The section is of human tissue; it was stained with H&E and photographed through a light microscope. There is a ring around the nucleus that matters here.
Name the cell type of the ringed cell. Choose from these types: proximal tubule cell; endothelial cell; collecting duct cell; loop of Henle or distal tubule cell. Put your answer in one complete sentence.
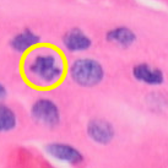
In this section of tissue, the ringed cell is a loop of Henle or distal tubule cell.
